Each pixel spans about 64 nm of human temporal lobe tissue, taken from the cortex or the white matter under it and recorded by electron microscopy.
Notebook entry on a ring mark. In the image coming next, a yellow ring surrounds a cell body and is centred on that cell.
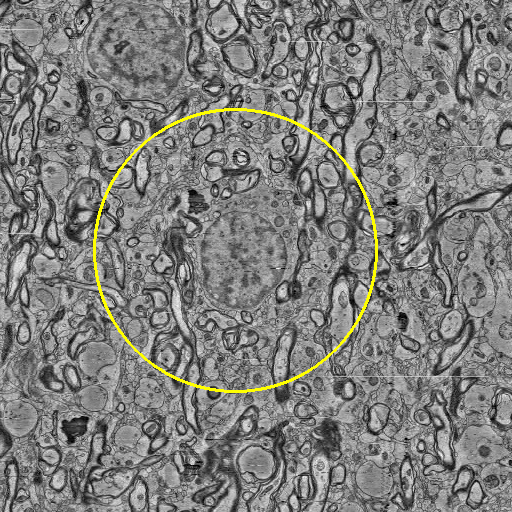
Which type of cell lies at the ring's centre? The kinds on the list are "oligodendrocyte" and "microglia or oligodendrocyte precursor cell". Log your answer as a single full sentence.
Centred in the yellow ring is an oligodendrocyte, the cell recorded for this image.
